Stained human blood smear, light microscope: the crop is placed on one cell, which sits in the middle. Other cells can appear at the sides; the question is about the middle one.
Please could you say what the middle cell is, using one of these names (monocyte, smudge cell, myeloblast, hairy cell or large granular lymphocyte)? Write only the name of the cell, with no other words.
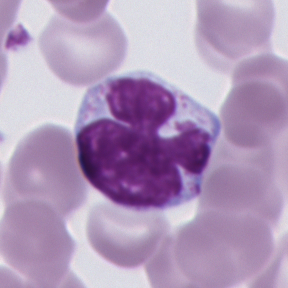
large granular lymphocyte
